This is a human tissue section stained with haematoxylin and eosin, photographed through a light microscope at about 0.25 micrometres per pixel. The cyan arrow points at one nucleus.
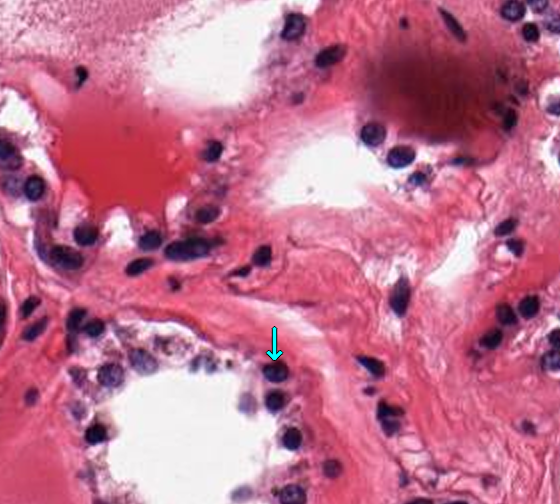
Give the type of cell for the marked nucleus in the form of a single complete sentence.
The nucleus marked in this picture belongs to a thyroid follicular cell.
